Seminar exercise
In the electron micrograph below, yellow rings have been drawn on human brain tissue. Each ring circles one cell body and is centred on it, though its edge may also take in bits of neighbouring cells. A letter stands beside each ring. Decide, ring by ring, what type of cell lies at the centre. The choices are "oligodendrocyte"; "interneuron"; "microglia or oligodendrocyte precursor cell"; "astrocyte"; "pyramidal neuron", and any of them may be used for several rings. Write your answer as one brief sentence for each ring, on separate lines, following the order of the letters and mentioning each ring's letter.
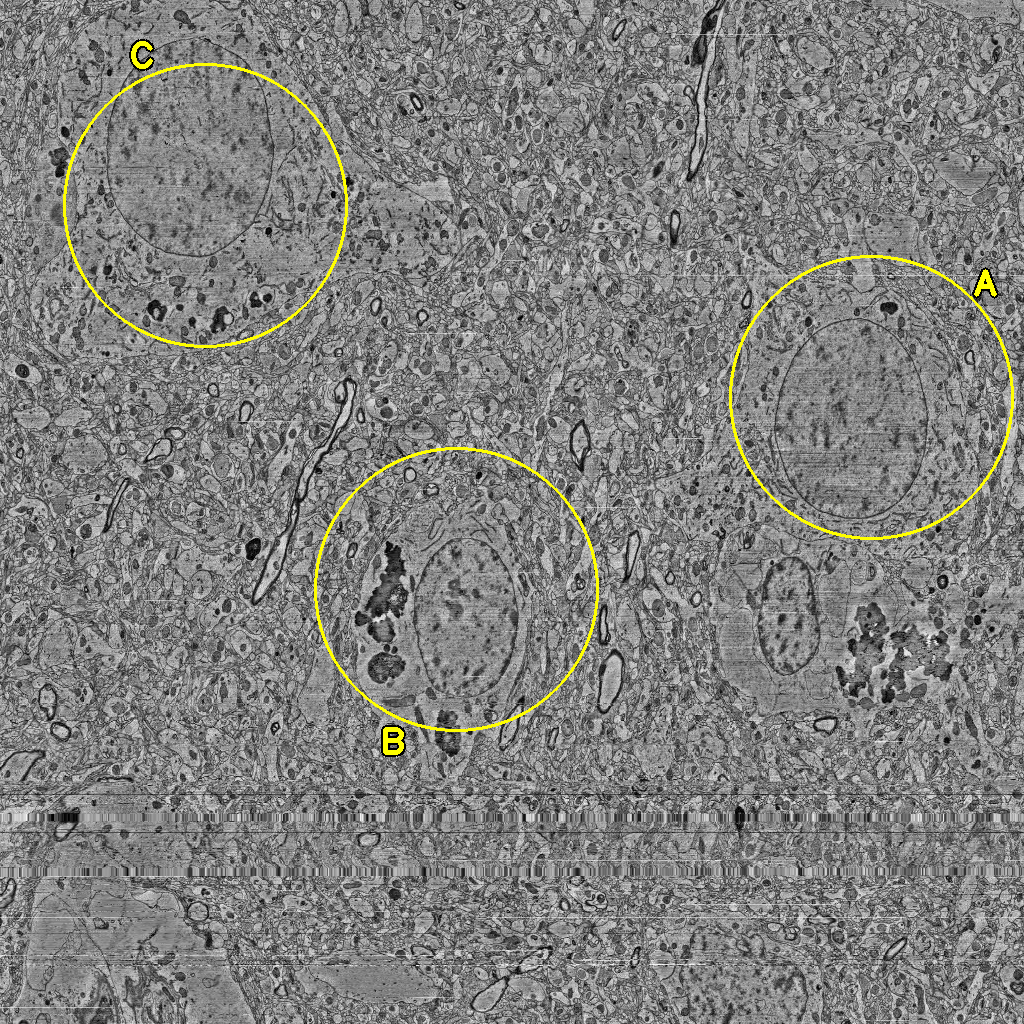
The cell in the middle of ring A is a pyramidal neuron.
The cell in the middle of ring B is an astrocyte.
The cell in the middle of ring C is a pyramidal neuron.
